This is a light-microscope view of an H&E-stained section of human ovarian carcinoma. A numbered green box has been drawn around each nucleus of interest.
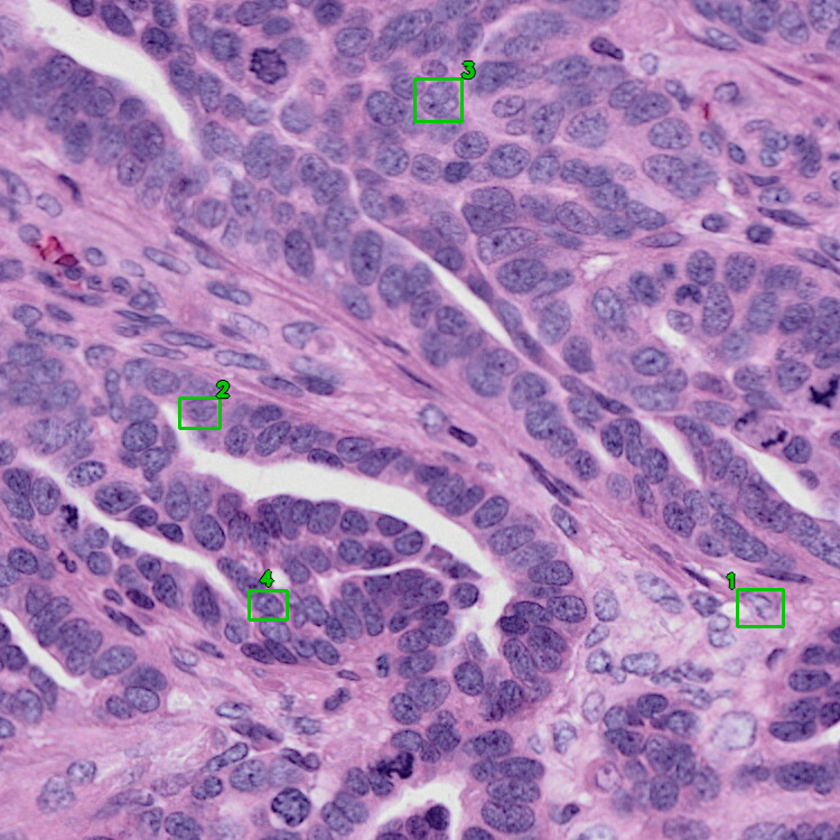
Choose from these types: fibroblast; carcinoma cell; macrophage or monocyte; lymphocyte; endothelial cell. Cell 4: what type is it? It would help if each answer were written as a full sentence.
Cell 4 in the field of view is a carcinoma cell.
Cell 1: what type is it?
The nucleus labeled 1 belongs to a fibroblast.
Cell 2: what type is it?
Belonging to a carcinoma cell is the nucleus that carries the number 2.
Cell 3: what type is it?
Cell 3, among those numbered, is a carcinoma cell.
